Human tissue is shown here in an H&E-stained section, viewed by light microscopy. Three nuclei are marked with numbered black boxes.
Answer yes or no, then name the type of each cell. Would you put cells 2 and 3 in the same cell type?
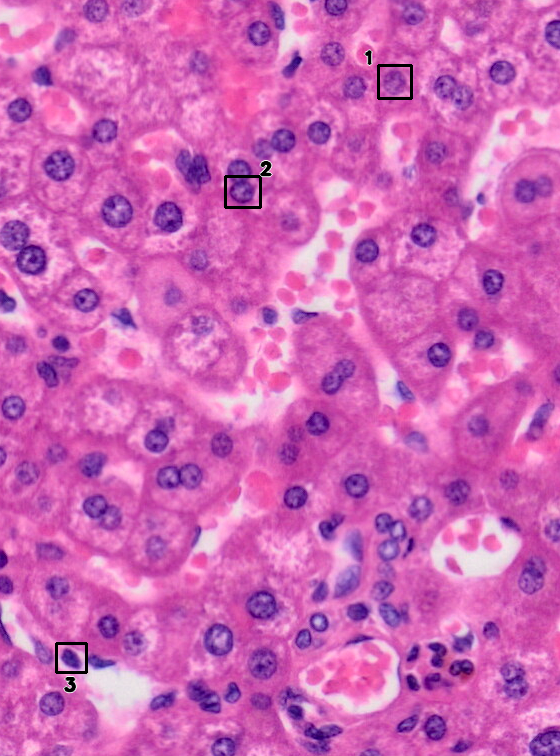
No, cell 2 is a hepatocyte and cell 3 is a lymphocyte.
